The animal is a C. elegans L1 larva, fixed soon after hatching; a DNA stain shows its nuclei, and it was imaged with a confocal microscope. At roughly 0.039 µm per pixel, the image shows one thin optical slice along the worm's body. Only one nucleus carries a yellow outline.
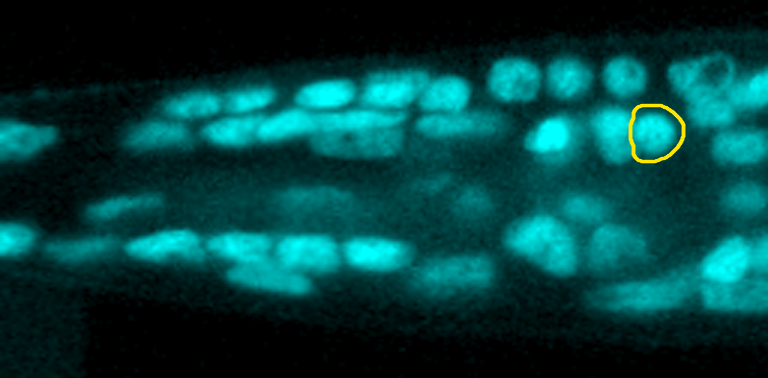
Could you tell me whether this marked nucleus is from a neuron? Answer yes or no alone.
yes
